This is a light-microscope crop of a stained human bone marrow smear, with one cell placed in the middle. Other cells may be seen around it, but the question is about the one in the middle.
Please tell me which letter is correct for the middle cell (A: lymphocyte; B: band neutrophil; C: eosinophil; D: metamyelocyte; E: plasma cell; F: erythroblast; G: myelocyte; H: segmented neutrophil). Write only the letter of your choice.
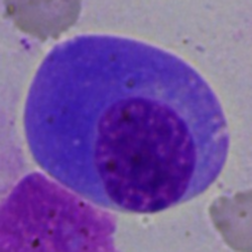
E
